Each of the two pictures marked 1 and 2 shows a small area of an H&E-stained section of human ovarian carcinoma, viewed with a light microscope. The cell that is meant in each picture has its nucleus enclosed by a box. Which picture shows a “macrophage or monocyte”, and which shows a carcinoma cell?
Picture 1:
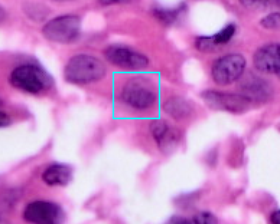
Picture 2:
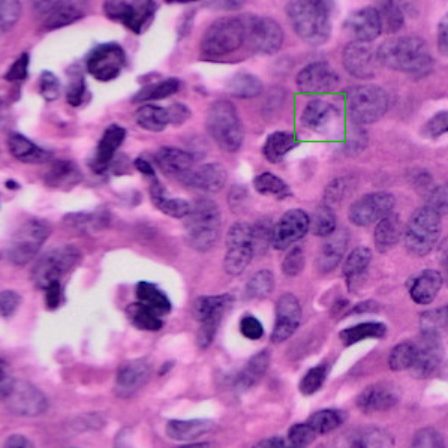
1: carcinoma cell
2: macrophage or monocyte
